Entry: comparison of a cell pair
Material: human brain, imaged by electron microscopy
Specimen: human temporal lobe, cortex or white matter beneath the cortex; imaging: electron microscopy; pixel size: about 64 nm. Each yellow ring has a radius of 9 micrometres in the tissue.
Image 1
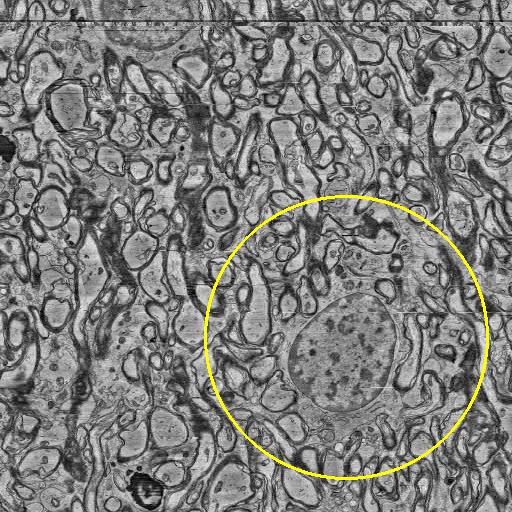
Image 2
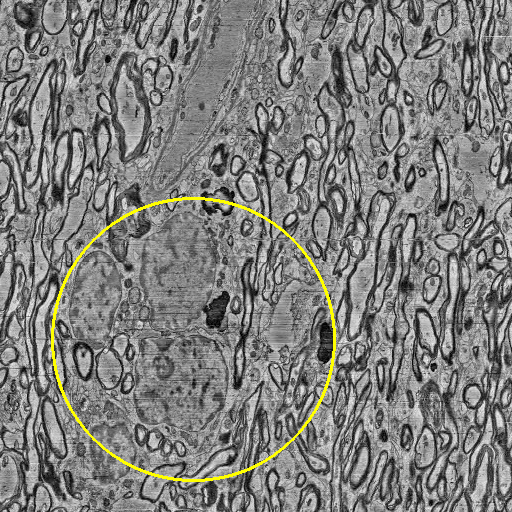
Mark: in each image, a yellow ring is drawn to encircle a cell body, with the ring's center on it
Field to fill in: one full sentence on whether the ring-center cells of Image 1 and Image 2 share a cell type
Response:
Yes, Image 1 and Image 2 each show a ring-center cell of one shared type.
